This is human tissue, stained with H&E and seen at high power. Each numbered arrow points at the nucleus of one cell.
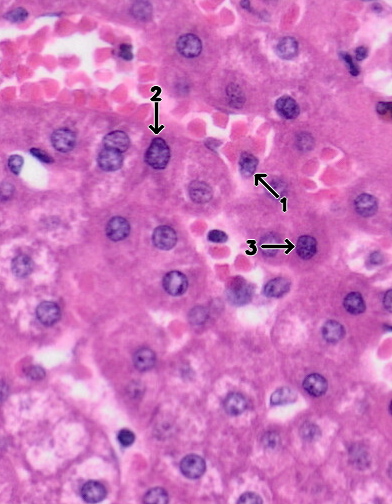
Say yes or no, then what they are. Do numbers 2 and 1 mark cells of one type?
No, cell 2 is a hepatocyte and cell 1 is a Kupffer cell.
